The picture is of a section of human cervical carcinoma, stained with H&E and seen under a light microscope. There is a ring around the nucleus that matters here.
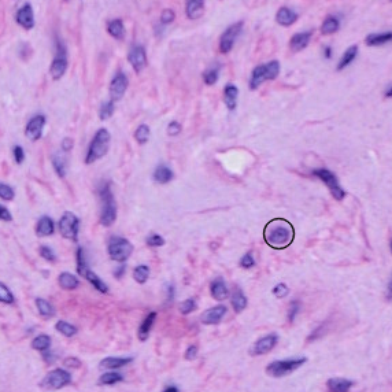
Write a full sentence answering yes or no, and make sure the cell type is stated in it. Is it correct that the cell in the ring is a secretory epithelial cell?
No, the cell in the ring isn't a secretory epithelial cell; it is a smooth muscle cell.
